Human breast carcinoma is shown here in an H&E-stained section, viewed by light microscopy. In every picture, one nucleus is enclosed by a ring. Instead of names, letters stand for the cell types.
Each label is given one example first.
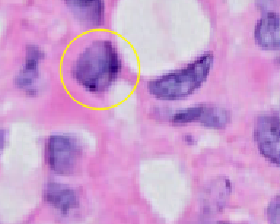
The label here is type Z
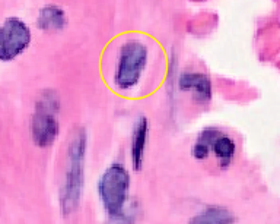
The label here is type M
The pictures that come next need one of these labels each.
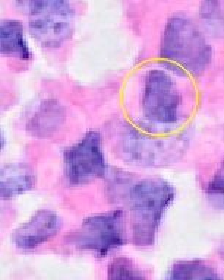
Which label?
type Z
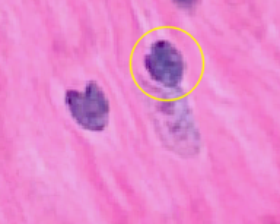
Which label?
type M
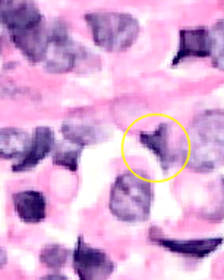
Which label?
type Z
